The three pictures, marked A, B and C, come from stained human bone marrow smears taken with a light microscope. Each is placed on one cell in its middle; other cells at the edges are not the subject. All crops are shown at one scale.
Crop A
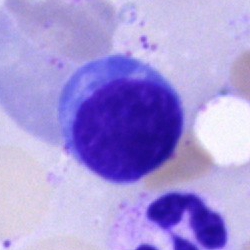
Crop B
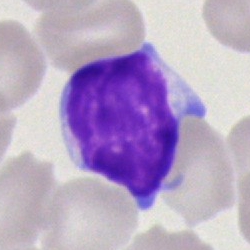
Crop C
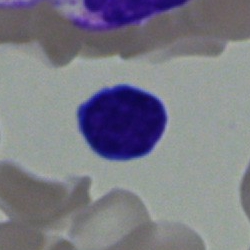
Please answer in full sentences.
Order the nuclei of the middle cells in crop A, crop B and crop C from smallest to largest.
Going up, they run C, A, B.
